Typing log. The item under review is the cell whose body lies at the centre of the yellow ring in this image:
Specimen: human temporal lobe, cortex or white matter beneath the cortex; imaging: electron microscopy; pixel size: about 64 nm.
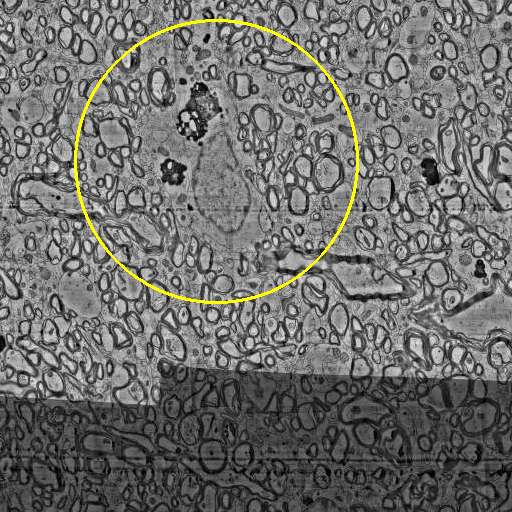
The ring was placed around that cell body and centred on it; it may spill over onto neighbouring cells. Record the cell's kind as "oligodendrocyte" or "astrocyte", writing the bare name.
astrocyte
